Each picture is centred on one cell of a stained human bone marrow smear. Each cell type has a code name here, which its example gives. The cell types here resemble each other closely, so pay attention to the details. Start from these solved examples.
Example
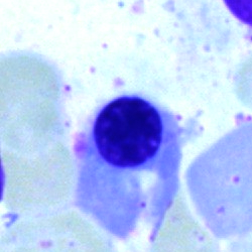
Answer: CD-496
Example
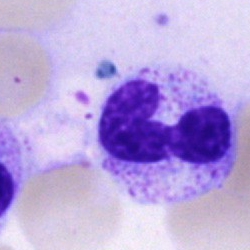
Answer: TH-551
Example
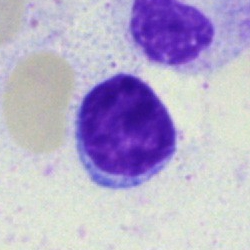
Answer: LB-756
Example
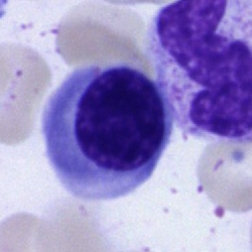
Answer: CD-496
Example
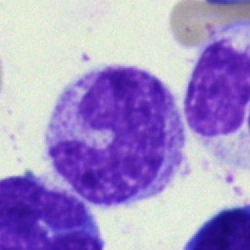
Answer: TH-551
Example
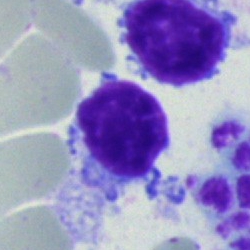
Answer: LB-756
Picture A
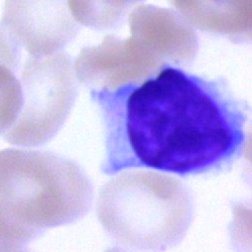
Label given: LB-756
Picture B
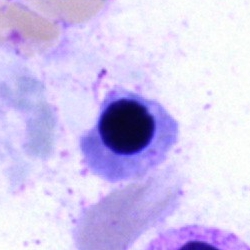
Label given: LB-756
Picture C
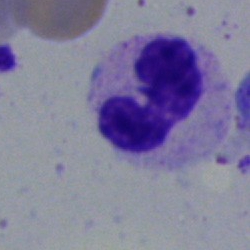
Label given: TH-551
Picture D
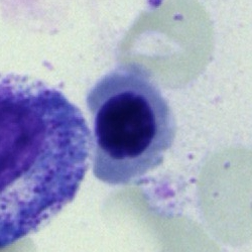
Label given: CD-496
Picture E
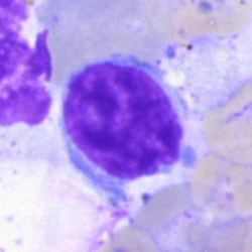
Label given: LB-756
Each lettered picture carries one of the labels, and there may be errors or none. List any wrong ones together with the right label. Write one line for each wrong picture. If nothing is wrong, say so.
B: CD-496, not LB-756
